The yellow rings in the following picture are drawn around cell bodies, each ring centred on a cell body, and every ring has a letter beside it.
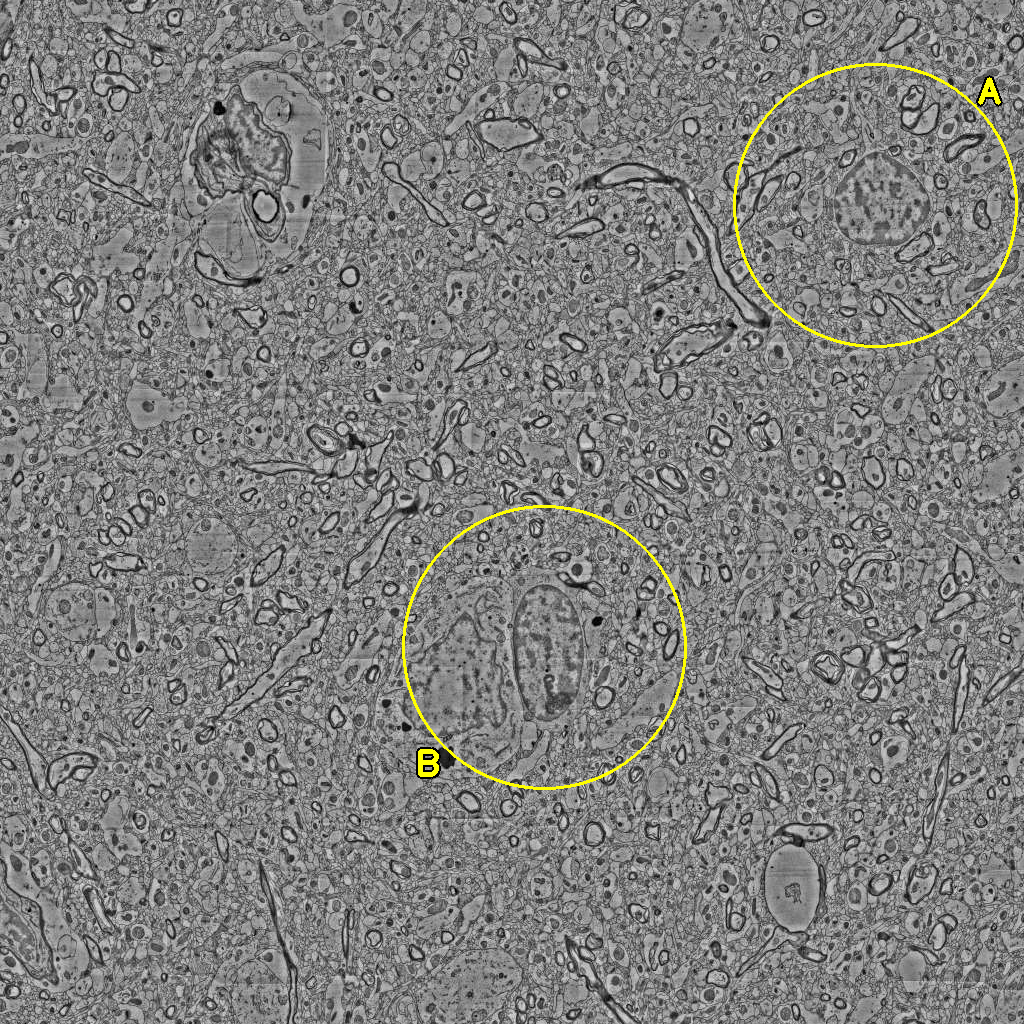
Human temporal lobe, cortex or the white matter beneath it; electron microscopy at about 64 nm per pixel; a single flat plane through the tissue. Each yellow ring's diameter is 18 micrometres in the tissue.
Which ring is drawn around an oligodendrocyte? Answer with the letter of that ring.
B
